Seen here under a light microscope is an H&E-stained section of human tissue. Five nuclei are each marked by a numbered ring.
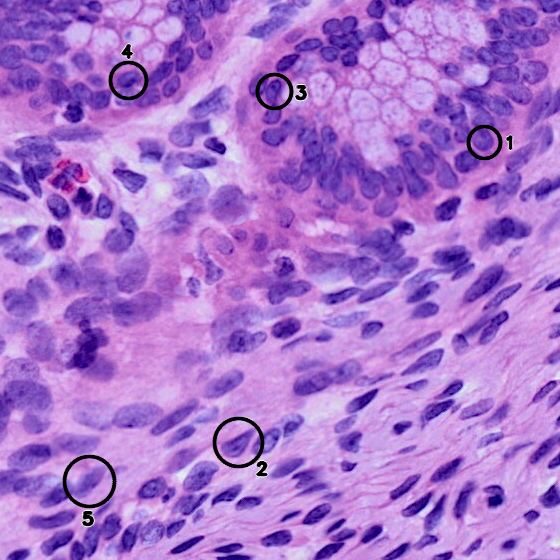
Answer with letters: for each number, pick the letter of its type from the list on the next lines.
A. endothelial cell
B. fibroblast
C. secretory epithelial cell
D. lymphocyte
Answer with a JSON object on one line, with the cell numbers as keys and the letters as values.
{"1": "C", "2": "A", "3": "C", "4": "C", "5": "B"}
